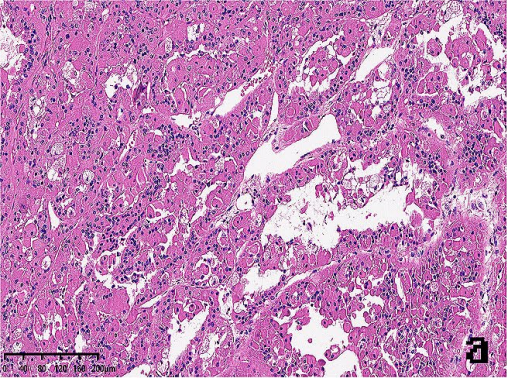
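Sheets and nests of large polygonal tumor cells with abundant pink cytoplasm and small round dark nuclei surround irregular open white spaces. The cells line the margins of these spaces, so these are cystic areas lined by eosinophilic cells with abundant cytoplasm.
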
